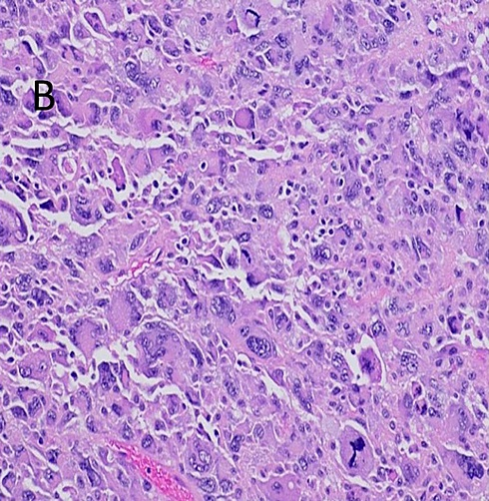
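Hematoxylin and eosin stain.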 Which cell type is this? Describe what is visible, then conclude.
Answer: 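Some cells are very large, with abundant pink cytoplasm. Some large cells hold several nuclei or one huge nucleus.
Giant cells.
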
